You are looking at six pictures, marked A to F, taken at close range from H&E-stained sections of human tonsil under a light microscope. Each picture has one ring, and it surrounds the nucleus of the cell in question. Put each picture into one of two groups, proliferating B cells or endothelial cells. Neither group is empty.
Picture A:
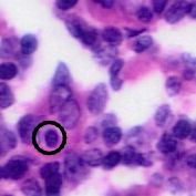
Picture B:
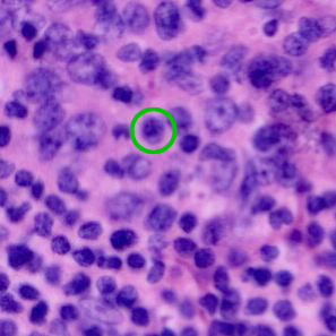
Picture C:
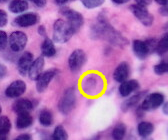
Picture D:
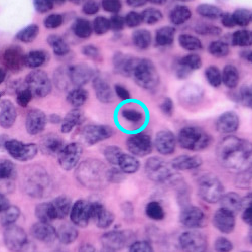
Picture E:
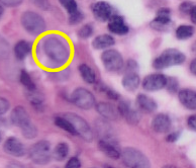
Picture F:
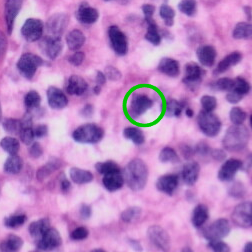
A: endothelial cell
B: proliferating B cell
C: endothelial cell
D: proliferating B cell
E: endothelial cell
F: proliferating B cell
